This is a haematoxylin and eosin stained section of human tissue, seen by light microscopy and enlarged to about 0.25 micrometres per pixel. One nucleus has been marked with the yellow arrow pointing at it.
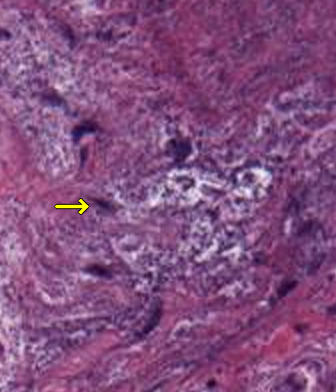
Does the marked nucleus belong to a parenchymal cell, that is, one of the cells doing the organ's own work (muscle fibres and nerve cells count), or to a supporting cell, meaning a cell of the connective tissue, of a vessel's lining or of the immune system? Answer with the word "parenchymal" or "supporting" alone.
supporting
